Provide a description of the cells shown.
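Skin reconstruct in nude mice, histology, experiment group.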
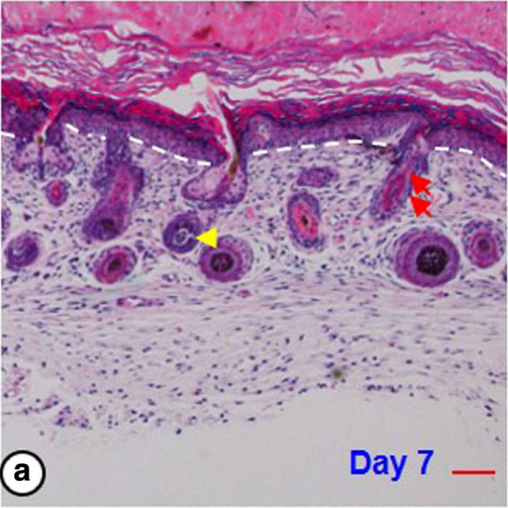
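Below the epidermis, the dermis holds a row of hair follicles cut across and obliquely. These show concentric rings of purple epithelial cells around central pink or dark pigmented hair shafts, and some follicles run up to open through the epidermis. Deeper down, the dermis becomes looser, with scattered spindle-shaped nuclei in pale fibrous tissue, and an empty space lies at the bottom edge of the section.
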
